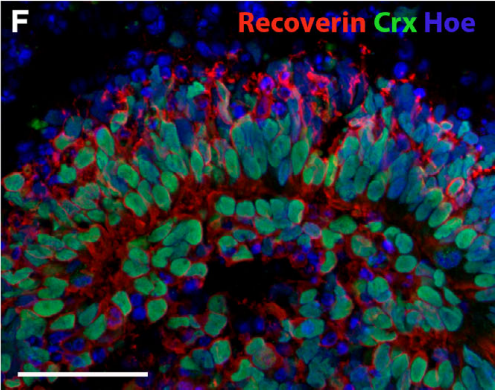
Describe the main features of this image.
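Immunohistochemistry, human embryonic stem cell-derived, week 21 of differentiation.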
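This is a curved layer of retinal photoreceptors in an organoid, arranged as a thick outer nuclear layer. Their oval nuclei, shown in green, are packed in several rows, and red outlines mark the cell bodies and processes, which reach toward the outer surface of the layer. A few blue nuclei without green lie outside and below this layer.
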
